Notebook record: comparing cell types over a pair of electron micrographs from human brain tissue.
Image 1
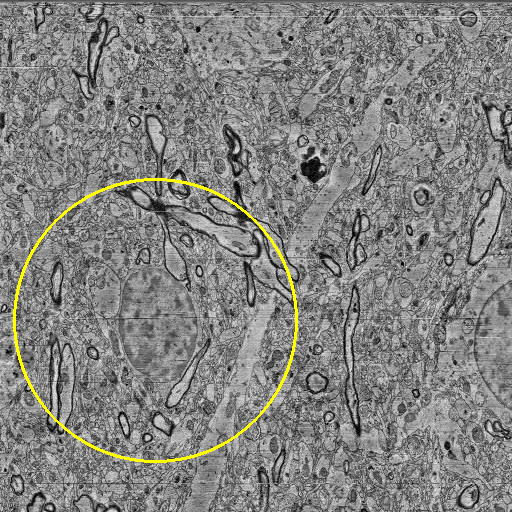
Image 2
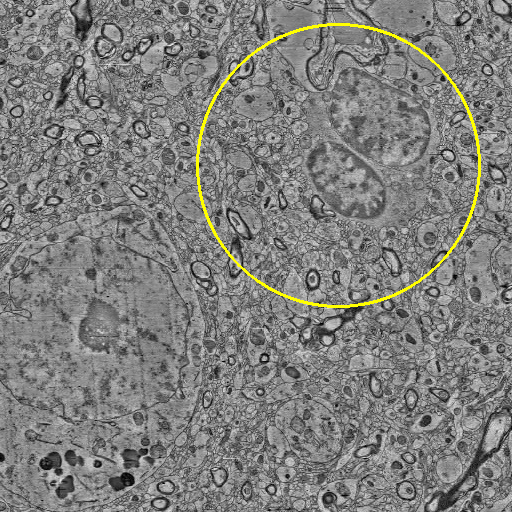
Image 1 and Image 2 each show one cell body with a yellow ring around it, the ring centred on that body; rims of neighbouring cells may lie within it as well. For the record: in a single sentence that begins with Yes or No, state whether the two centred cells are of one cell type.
Yes, one cell type is shared by the centred cells of Image 1 and Image 2.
